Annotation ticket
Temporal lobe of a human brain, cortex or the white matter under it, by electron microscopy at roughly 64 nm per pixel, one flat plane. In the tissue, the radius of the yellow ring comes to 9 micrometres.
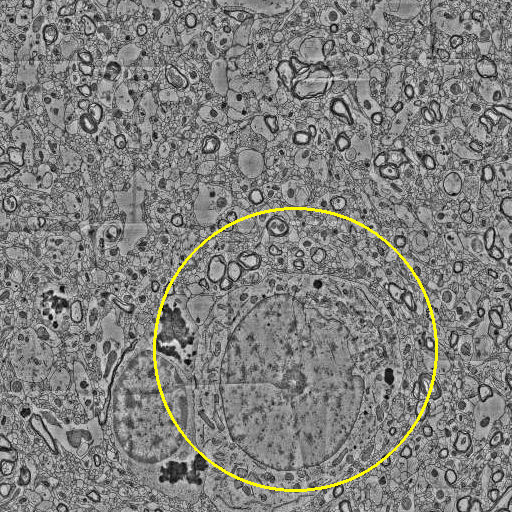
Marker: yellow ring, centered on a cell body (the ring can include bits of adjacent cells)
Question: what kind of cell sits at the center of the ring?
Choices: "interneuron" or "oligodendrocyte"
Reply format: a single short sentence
The ring is centered on an interneuron.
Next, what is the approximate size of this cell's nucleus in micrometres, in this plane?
The nucleus comes to roughly 11 by 9 micrometres in this plane.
